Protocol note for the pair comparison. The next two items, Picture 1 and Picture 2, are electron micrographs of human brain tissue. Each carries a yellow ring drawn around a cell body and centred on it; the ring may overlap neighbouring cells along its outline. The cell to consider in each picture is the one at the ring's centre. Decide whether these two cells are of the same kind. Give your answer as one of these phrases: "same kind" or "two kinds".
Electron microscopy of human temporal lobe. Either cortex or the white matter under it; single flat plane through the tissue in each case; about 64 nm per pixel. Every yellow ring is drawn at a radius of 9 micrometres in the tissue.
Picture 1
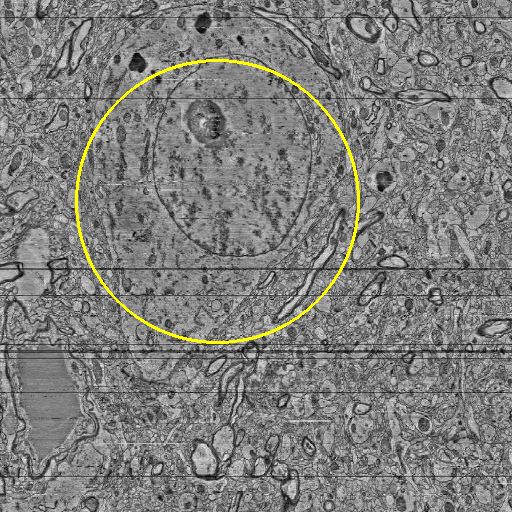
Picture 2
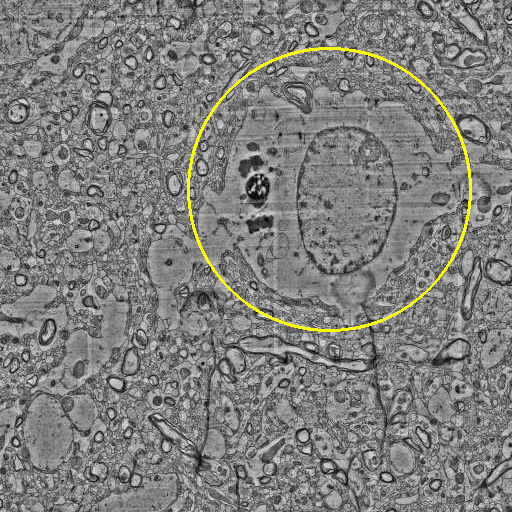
two kinds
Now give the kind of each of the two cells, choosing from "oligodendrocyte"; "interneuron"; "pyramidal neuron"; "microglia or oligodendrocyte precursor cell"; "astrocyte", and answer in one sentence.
The cell in the first picture is a pyramidal neuron, and the cell in the second is an astrocyte.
